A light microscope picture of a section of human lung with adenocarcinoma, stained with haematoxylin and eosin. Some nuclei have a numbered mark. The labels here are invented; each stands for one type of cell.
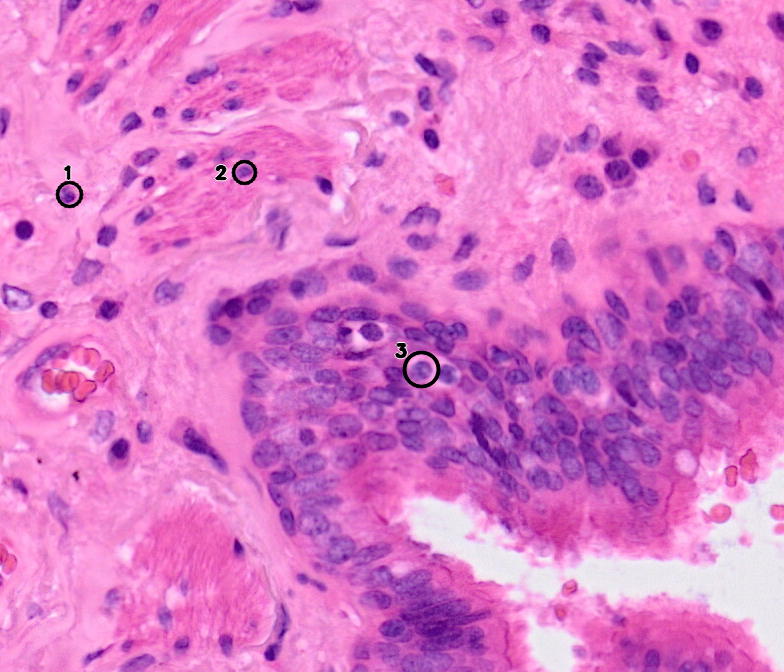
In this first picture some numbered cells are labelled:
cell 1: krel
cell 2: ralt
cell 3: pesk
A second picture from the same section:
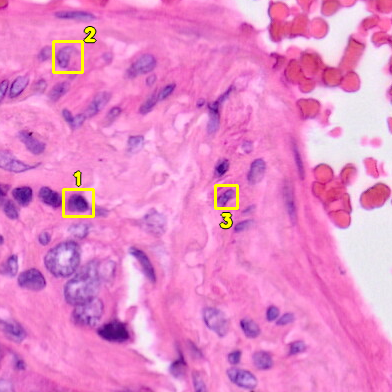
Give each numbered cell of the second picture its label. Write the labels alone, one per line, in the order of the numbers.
pesk
ralt
ralt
